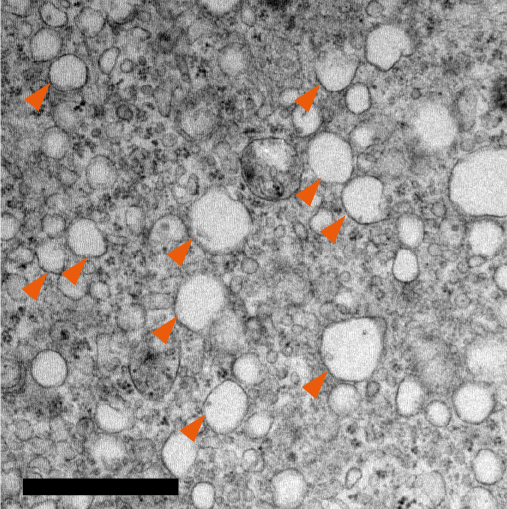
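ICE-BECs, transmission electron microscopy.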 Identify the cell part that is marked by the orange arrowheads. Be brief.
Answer: endosomes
